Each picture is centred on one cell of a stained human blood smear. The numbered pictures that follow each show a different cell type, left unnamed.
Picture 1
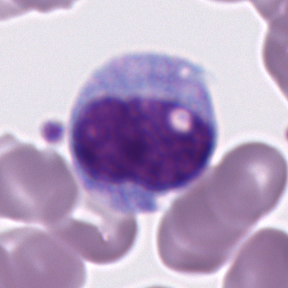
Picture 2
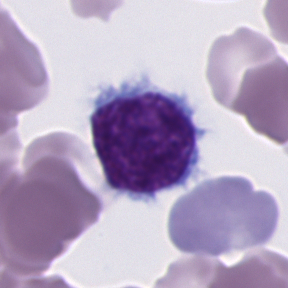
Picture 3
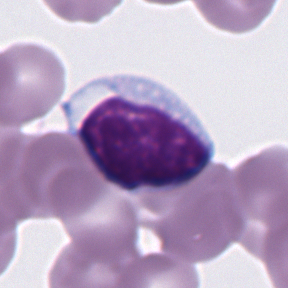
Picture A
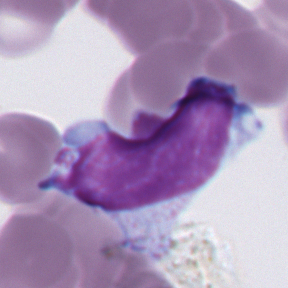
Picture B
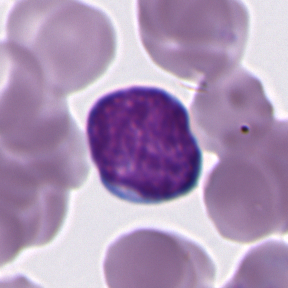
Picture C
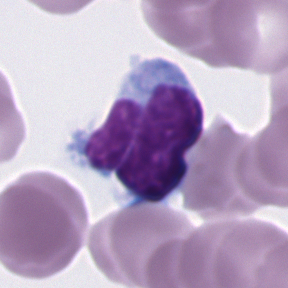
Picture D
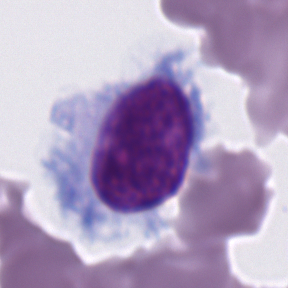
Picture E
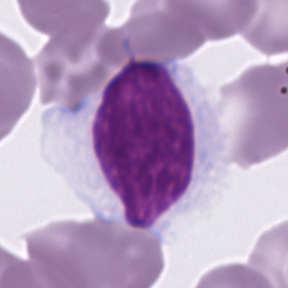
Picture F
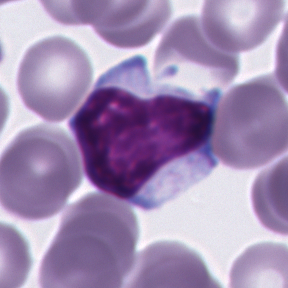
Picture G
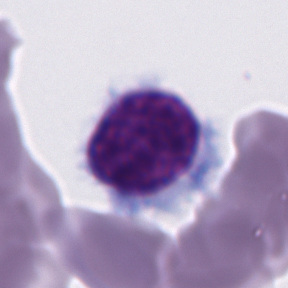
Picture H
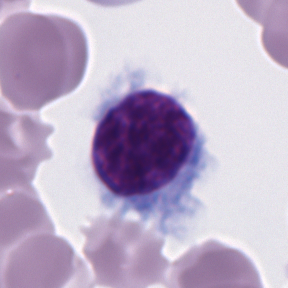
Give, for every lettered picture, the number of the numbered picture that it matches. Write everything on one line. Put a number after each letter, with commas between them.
A 3, B 3, C 3, D 2, E 2, F 3, G 2, H 2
